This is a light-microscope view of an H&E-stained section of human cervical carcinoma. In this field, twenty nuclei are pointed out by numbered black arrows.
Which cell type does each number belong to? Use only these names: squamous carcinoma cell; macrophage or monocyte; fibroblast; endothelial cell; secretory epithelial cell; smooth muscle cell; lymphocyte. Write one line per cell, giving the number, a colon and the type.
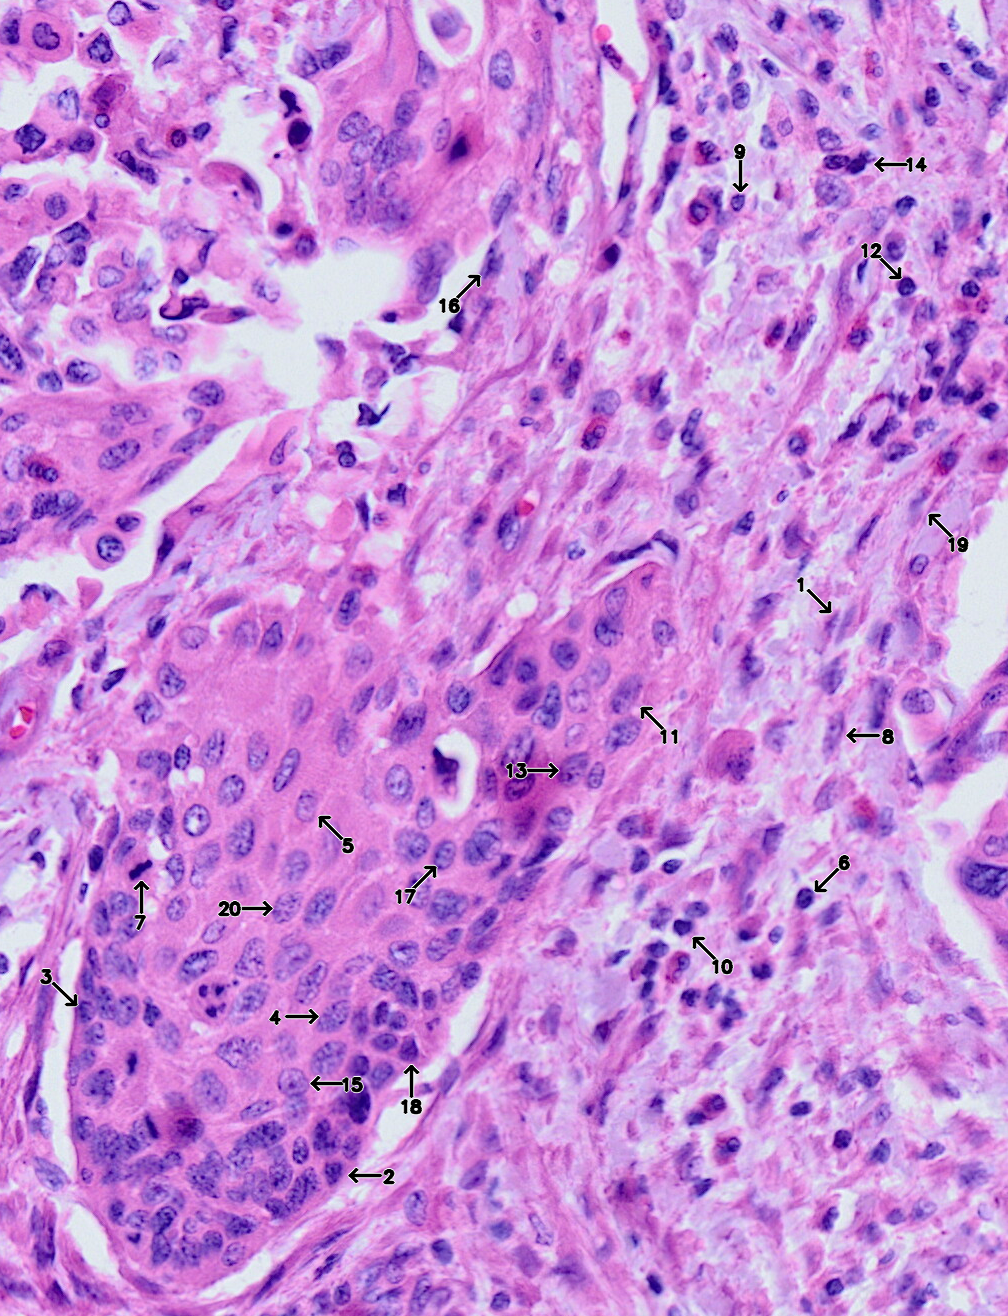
1: fibroblast
2: squamous carcinoma cell
3: squamous carcinoma cell
4: squamous carcinoma cell
5: squamous carcinoma cell
6: lymphocyte
7: squamous carcinoma cell
8: fibroblast
9: lymphocyte
10: lymphocyte
11: squamous carcinoma cell
12: lymphocyte
13: squamous carcinoma cell
14: lymphocyte
15: squamous carcinoma cell
16: macrophage or monocyte
17: squamous carcinoma cell
18: squamous carcinoma cell
19: fibroblast
20: squamous carcinoma cell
